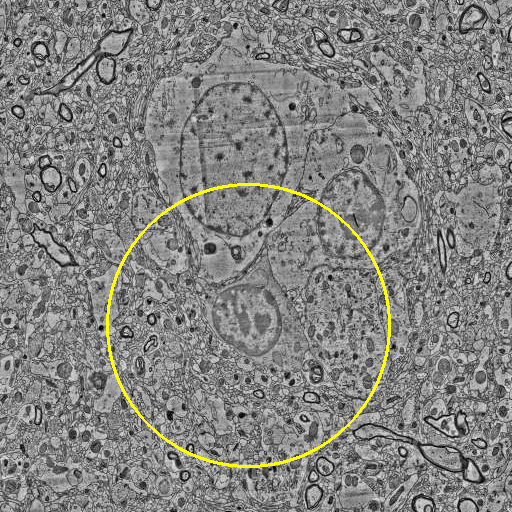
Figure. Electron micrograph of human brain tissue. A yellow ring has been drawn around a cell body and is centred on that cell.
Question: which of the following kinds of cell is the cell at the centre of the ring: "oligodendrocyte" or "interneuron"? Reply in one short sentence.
The cell at the centre of the ring is an oligodendrocyte.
